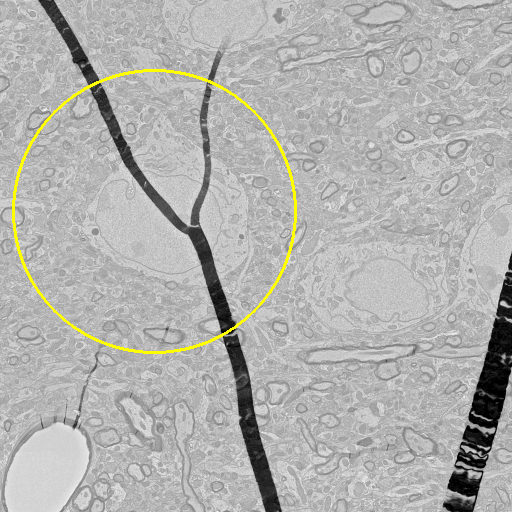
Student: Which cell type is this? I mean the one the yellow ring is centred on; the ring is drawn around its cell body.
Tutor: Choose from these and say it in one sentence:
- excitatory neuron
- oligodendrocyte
The cell the ring is centred on is an excitatory neuron.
